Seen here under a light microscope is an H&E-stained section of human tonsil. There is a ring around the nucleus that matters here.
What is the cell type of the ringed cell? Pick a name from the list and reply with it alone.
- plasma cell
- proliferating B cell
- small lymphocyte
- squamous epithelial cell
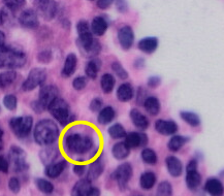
proliferating B cell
